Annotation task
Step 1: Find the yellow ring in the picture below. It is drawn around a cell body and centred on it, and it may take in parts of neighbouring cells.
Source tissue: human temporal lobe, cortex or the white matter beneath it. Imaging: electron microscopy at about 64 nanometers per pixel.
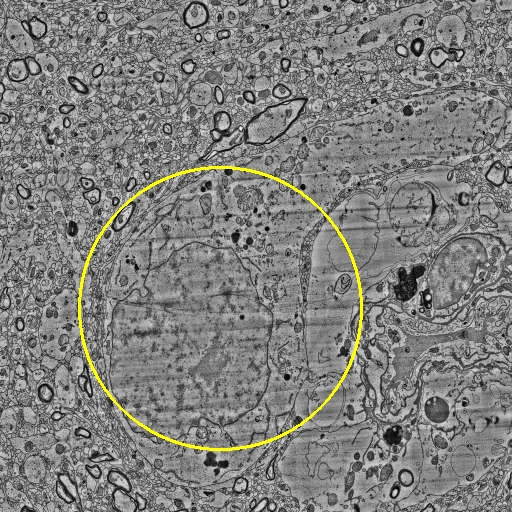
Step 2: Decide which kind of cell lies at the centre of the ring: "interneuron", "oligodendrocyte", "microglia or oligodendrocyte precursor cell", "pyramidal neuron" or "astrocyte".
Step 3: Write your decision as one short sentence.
The kind of cell at the ring's centre is a pyramidal neuron.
